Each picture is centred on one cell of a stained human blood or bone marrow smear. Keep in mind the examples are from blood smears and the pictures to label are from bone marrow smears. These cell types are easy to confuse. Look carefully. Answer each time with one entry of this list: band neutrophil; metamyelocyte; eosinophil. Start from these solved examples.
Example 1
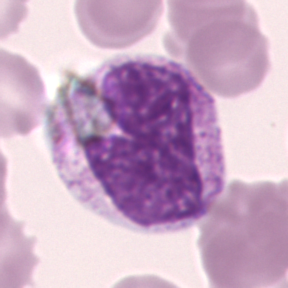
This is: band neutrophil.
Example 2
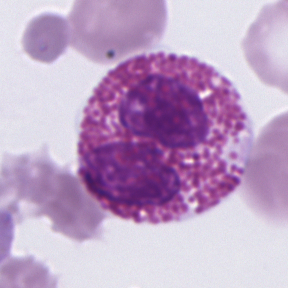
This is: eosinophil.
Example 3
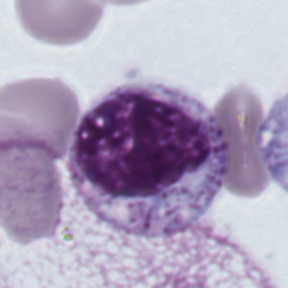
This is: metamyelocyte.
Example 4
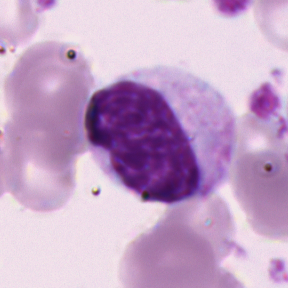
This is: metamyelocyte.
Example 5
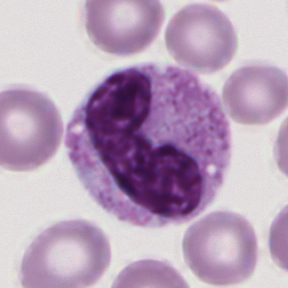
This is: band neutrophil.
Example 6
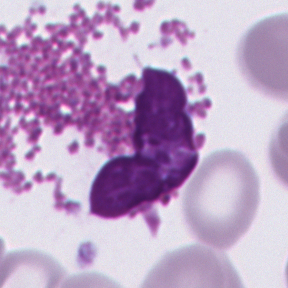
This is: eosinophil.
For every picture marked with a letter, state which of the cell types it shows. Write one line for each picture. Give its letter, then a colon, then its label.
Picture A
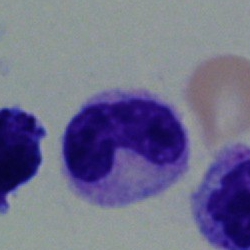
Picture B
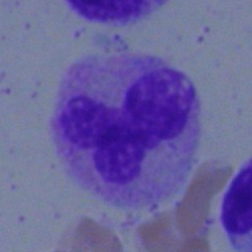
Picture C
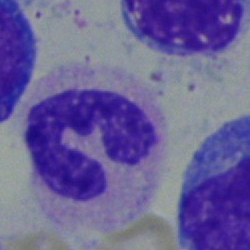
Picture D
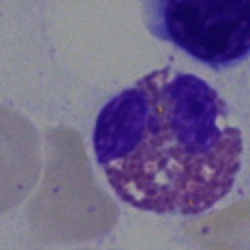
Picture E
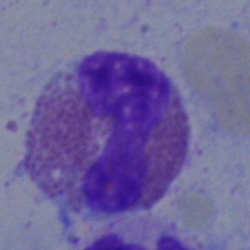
A: band neutrophil.
B: band neutrophil.
C: band neutrophil.
D: eosinophil.
E: eosinophil.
